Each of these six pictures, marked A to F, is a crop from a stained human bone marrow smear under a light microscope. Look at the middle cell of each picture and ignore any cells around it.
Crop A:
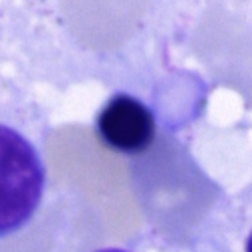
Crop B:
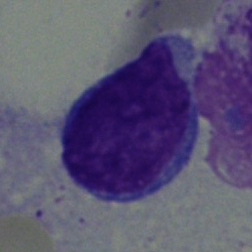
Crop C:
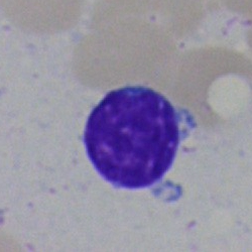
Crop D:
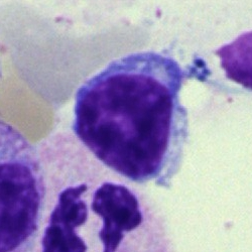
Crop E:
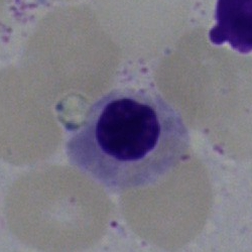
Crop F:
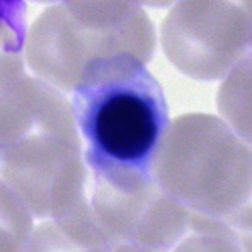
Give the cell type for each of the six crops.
A: normoblast
B: blast
C: lymphocyte
D: lymphocyte
E: normoblast
F: normoblast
